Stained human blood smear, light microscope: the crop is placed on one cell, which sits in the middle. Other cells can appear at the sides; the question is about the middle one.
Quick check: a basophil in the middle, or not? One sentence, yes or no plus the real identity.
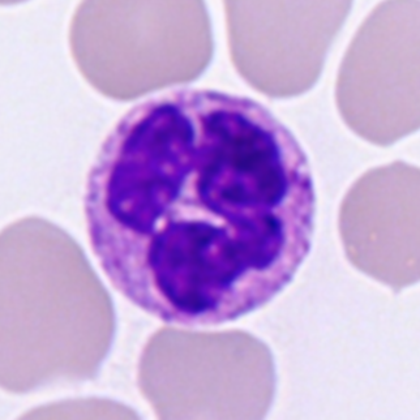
Yes, the cell in the center of the field is a basophil.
